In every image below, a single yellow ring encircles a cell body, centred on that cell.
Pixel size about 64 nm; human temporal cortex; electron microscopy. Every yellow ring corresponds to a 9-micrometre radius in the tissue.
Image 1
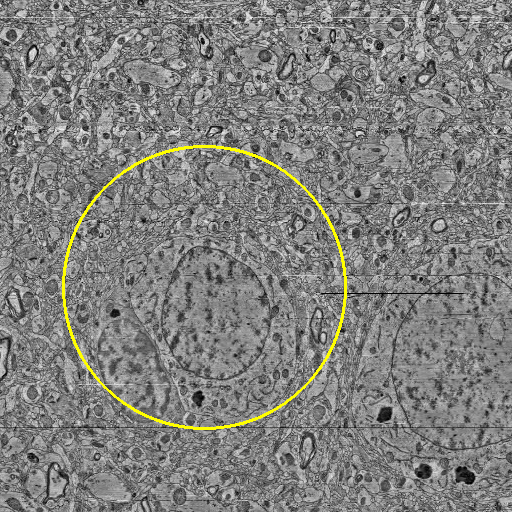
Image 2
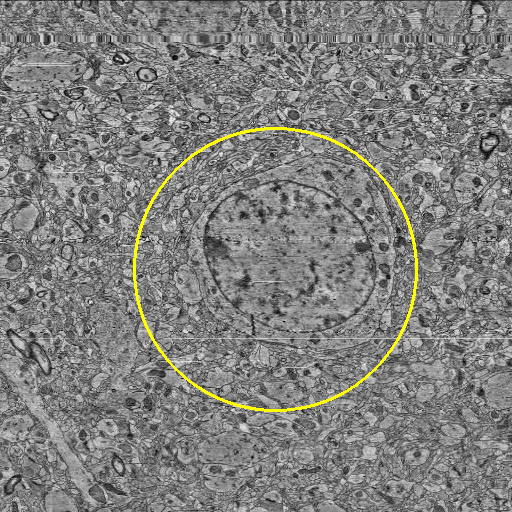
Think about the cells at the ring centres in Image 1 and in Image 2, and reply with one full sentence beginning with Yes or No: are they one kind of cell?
Yes, the cells centred in the rings of Image 1 and Image 2 are one kind of cell.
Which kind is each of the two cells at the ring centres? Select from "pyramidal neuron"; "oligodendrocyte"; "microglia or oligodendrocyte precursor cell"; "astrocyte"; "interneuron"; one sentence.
Both cells are the same kind, each one being a pyramidal neuron.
